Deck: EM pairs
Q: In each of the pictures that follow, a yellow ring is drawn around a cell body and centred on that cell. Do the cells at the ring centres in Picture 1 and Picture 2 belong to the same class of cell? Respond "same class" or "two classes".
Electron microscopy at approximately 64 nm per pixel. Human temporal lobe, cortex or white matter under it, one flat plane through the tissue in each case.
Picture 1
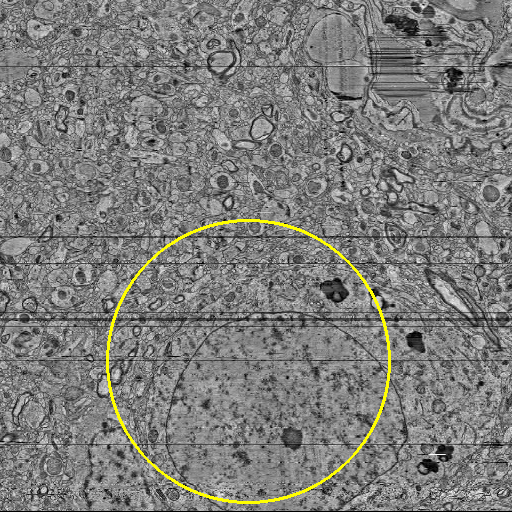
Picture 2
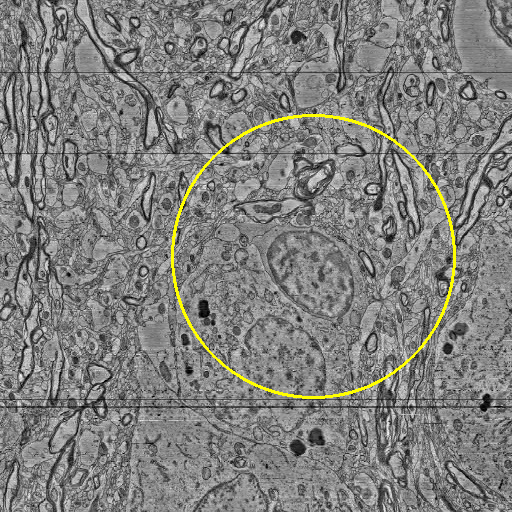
two classes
